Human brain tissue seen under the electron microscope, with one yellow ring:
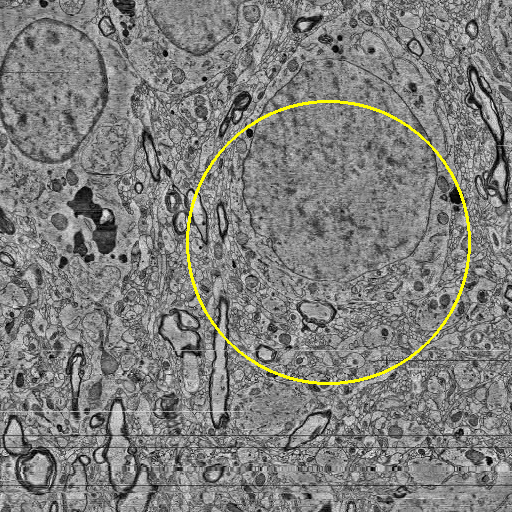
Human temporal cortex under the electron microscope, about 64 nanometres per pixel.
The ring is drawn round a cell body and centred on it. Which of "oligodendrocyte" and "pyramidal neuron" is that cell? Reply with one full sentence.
The picture shows a pyramidal neuron at the very centre of the yellow ring.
